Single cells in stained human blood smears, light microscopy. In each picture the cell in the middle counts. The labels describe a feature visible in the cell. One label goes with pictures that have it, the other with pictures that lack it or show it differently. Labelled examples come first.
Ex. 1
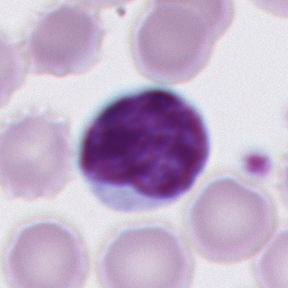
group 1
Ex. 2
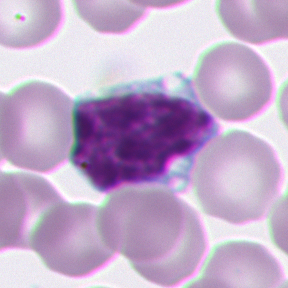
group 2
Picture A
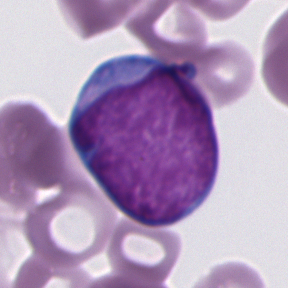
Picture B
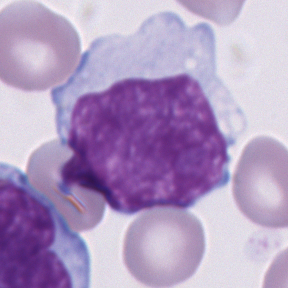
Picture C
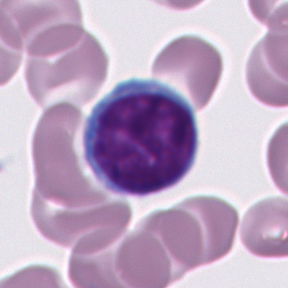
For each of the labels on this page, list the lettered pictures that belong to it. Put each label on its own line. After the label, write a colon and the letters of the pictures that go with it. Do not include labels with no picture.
group 1: C
group 2: A, B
